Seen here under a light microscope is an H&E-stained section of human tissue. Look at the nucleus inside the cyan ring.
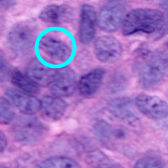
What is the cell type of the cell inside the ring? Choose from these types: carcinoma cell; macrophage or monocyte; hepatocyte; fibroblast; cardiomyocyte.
carcinoma cell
